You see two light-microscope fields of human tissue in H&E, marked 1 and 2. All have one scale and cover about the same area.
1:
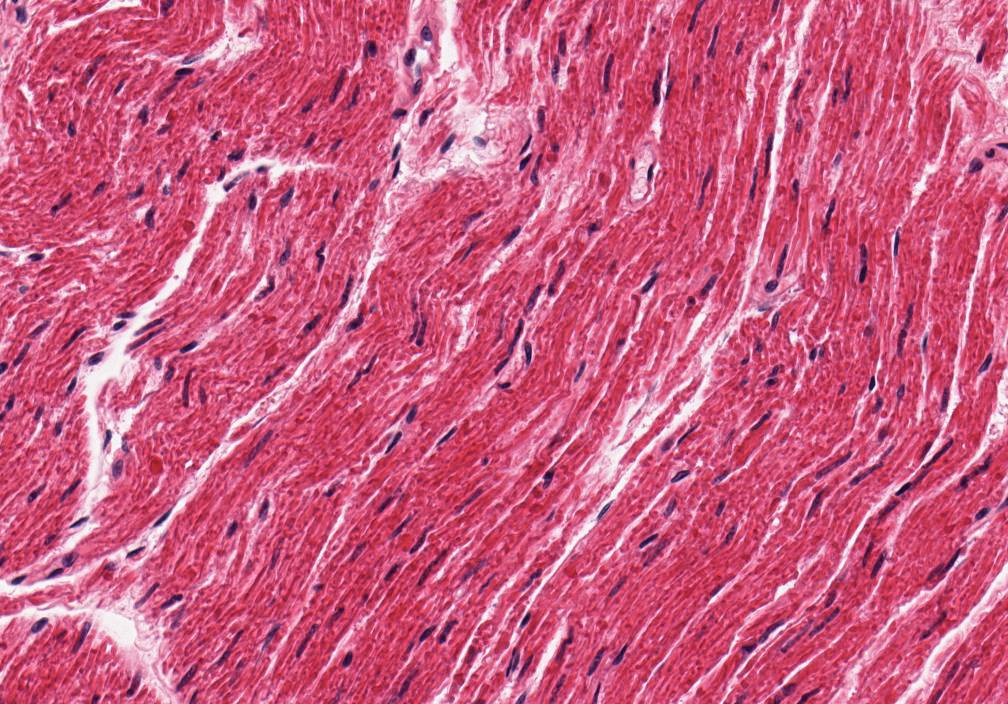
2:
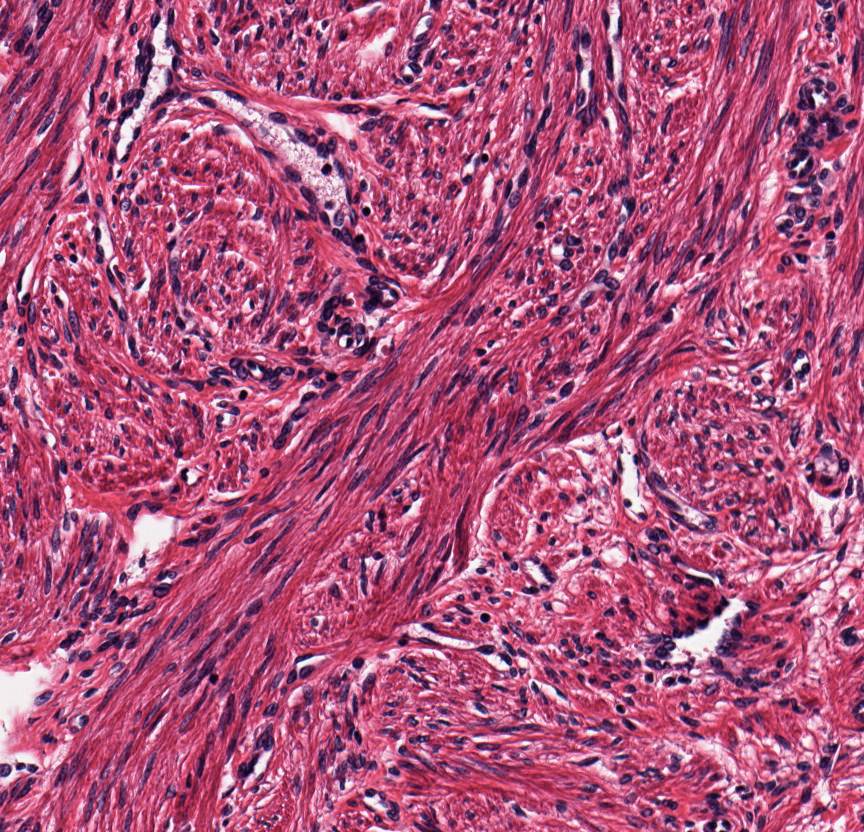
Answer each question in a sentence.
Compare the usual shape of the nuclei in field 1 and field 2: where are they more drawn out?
The nuclei are more elongated in field 1.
